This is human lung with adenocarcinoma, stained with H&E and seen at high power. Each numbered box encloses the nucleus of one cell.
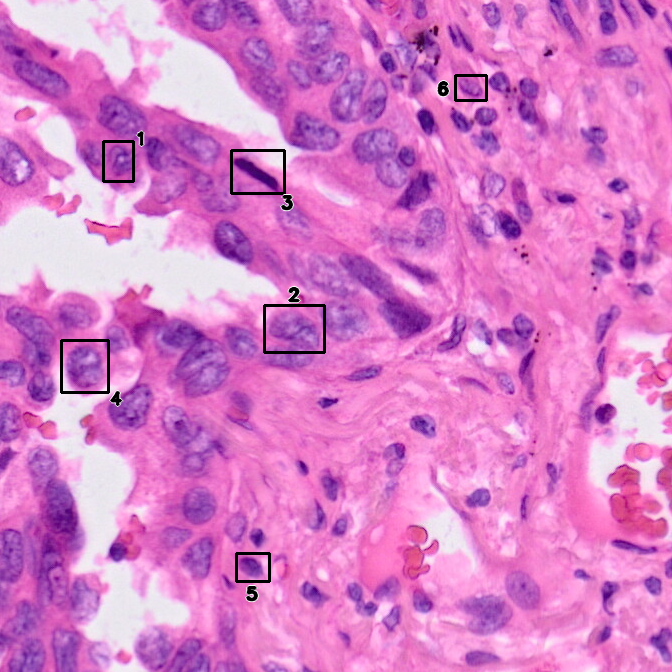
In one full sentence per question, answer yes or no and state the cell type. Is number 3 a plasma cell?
No, it is a carcinoma cell that is marked with number 3, not a plasma cell.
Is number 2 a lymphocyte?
No, number 2 identifies a carcinoma cell, not a lymphocyte.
